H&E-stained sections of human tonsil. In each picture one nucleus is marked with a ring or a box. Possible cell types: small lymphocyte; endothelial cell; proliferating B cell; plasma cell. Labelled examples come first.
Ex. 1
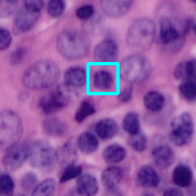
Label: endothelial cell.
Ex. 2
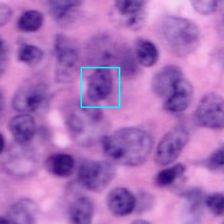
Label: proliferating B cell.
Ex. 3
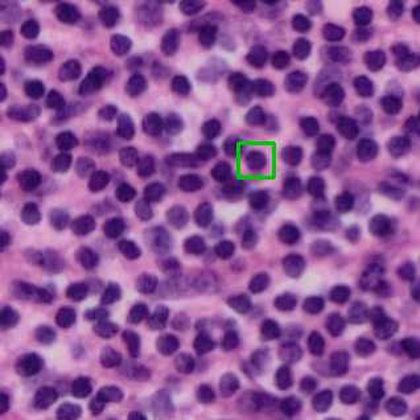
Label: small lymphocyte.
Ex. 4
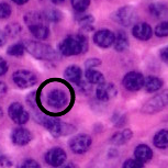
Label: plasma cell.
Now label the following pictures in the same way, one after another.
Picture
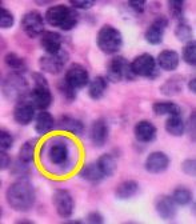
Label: small lymphocyte.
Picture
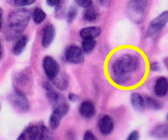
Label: endothelial cell.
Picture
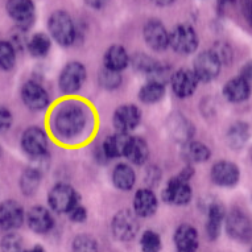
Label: plasma cell.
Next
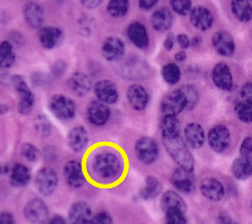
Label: plasma cell.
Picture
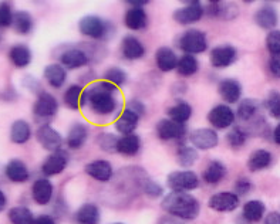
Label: small lymphocyte.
